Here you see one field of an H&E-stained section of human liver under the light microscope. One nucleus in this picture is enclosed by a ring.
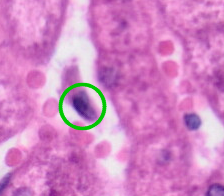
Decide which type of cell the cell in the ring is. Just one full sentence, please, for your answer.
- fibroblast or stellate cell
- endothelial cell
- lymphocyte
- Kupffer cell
For cell typing purposes, the cell in the ring is a Kupffer cell.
